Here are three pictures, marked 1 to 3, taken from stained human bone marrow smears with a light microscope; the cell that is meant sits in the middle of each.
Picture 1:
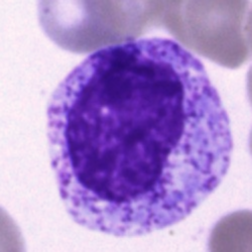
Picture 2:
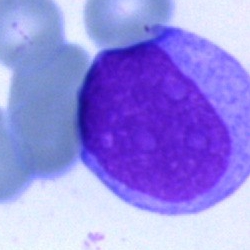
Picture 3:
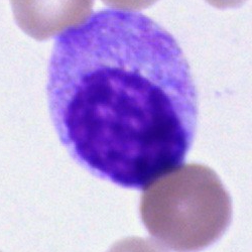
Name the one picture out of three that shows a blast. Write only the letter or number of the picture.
2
